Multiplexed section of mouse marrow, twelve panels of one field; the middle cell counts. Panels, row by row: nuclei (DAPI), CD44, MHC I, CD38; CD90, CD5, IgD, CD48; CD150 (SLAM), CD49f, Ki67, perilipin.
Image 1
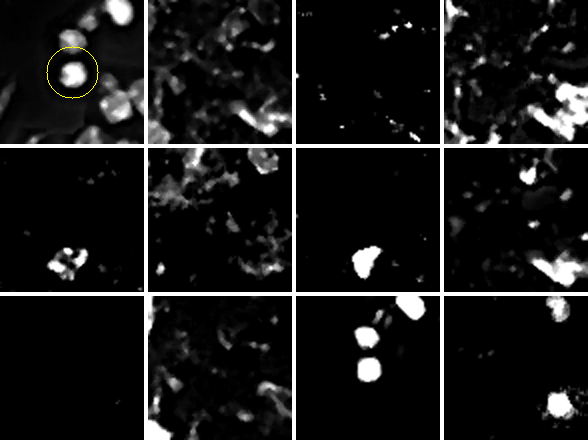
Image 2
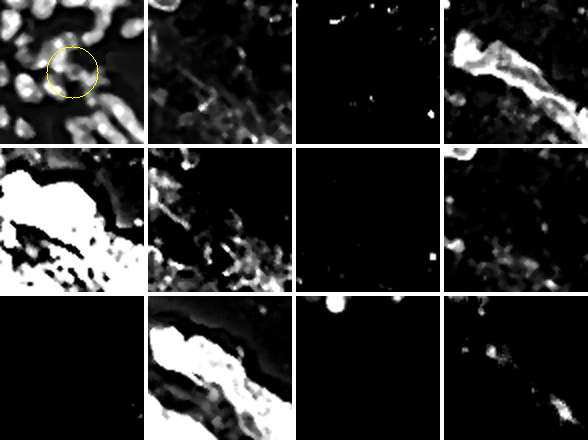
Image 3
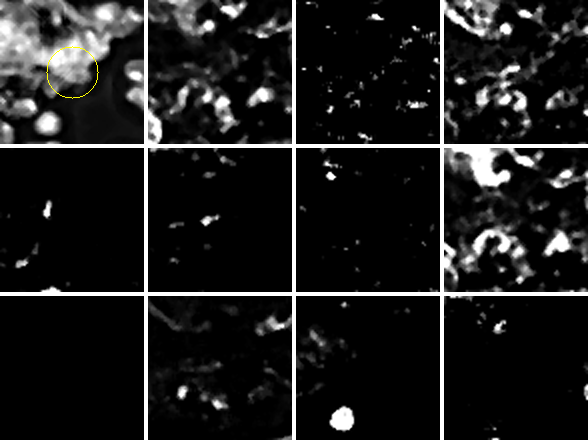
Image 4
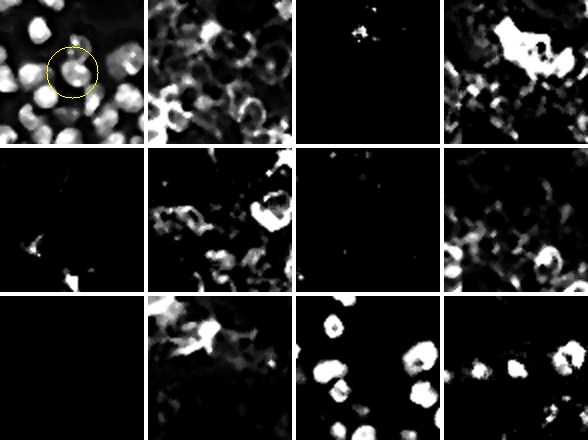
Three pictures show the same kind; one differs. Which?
Picture 1: an erythroblast, while the others are capillary endothelial cells.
